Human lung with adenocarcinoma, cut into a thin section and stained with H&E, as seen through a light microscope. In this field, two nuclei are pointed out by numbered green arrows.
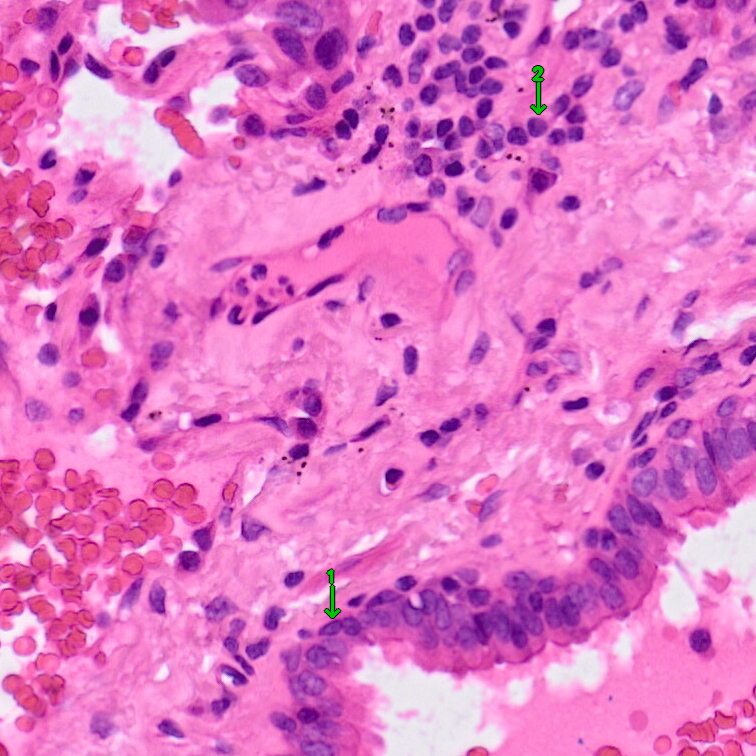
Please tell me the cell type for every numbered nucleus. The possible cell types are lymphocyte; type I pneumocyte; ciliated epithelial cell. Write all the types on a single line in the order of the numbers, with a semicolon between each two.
ciliated epithelial cell; lymphocyte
